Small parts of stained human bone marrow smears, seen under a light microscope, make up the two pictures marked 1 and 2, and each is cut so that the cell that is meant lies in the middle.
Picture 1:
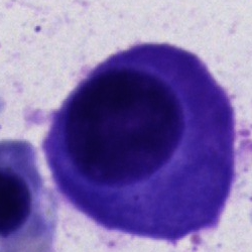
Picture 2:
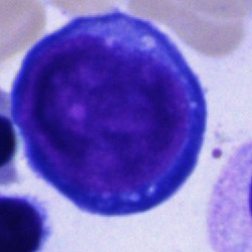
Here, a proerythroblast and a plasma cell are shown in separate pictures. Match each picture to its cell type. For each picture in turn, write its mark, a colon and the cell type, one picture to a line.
1: plasma cell
2: proerythroblast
